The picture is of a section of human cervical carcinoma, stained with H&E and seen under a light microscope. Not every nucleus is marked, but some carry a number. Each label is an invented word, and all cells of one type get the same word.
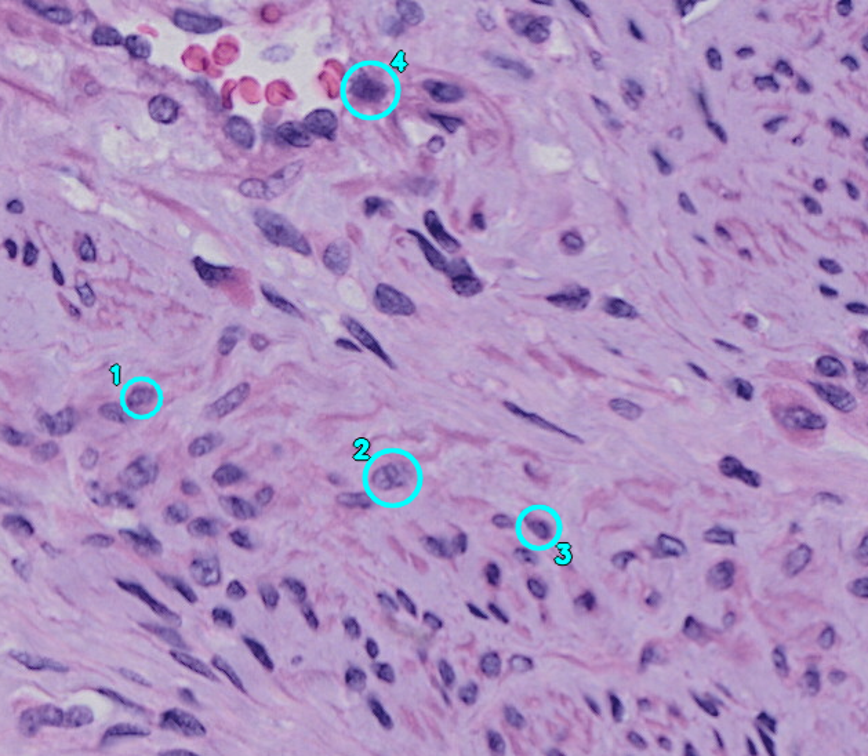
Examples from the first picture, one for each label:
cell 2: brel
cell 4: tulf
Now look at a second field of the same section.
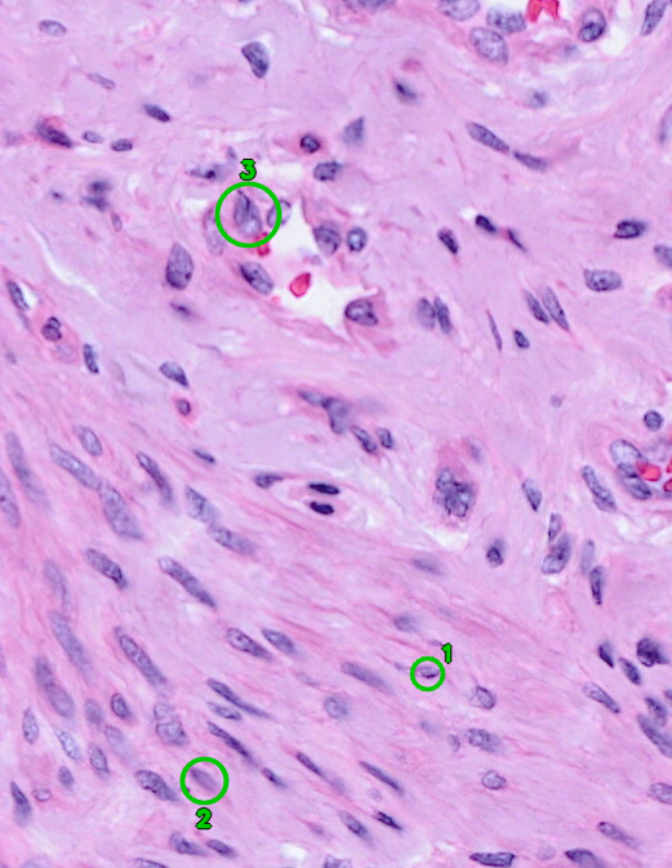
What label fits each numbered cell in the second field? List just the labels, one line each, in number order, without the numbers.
brel
brel
tulf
